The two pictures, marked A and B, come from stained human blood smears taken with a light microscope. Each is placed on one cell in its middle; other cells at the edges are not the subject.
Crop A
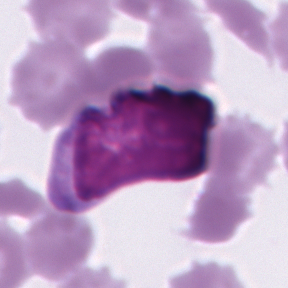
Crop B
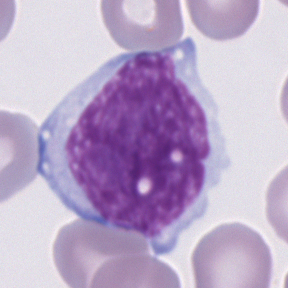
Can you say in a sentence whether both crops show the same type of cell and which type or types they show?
Yes, the two central cells, one per crop, are myeloblasts.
